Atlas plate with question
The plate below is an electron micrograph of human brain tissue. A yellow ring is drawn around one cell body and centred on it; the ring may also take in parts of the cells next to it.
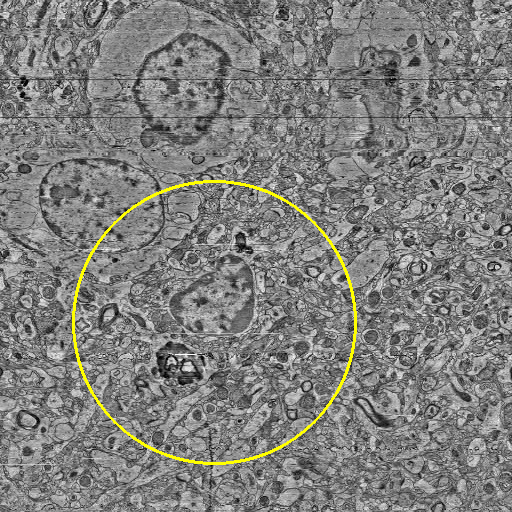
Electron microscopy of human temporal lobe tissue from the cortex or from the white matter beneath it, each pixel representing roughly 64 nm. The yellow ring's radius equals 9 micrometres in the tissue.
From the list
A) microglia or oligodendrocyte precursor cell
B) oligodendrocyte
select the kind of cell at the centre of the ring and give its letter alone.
A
